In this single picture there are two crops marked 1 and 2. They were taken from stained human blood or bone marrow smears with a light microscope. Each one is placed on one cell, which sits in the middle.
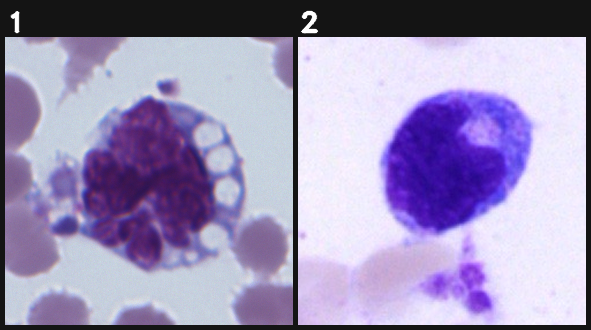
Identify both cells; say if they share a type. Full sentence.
Yes, the central cells in both of the crops are monocytes.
